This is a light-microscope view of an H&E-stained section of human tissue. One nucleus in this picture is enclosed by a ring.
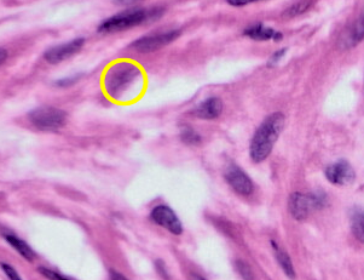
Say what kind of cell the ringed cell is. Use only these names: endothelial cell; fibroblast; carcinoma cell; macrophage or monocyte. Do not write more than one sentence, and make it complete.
As a matter of cell type, the ringed cell is a fibroblast.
